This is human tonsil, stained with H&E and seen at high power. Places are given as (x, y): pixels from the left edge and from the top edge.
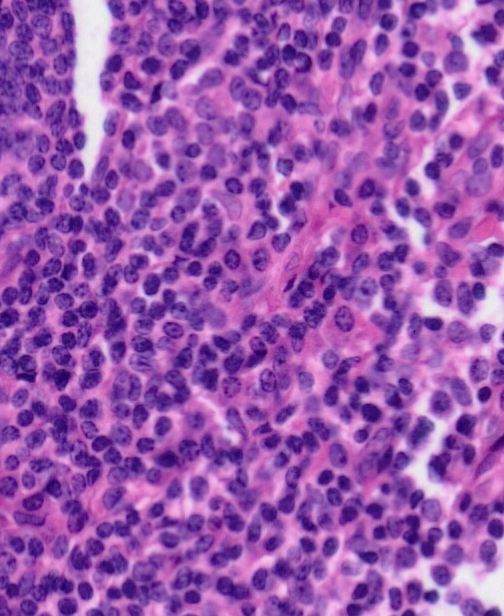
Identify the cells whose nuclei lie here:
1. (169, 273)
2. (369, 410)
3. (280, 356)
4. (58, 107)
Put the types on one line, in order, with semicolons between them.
small lymphocyte; small lymphocyte; plasma cell; small lymphocyte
